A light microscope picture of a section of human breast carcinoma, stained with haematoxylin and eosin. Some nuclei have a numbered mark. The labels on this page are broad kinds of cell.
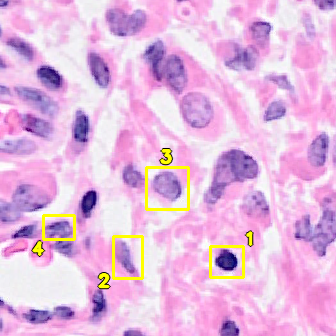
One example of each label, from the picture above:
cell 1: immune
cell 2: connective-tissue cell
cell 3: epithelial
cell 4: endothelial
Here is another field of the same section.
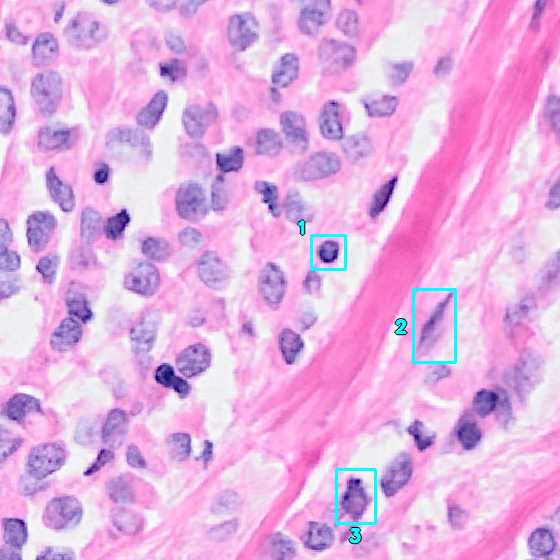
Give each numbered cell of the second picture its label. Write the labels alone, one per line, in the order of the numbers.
immune
connective-tissue cell
epithelial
